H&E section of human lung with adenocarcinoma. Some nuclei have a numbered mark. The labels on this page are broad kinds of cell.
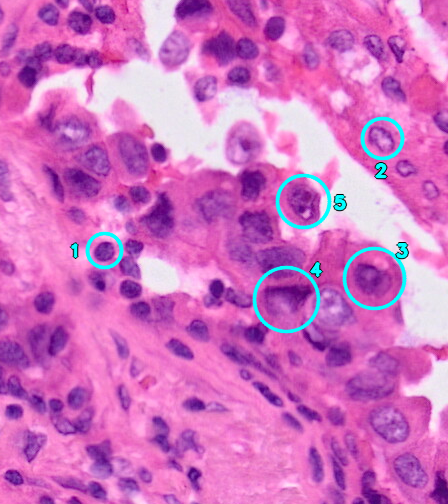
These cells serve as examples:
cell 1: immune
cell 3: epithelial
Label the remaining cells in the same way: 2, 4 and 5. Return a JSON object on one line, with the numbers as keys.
{"2": "immune", "4": "epithelial", "5": "epithelial"}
